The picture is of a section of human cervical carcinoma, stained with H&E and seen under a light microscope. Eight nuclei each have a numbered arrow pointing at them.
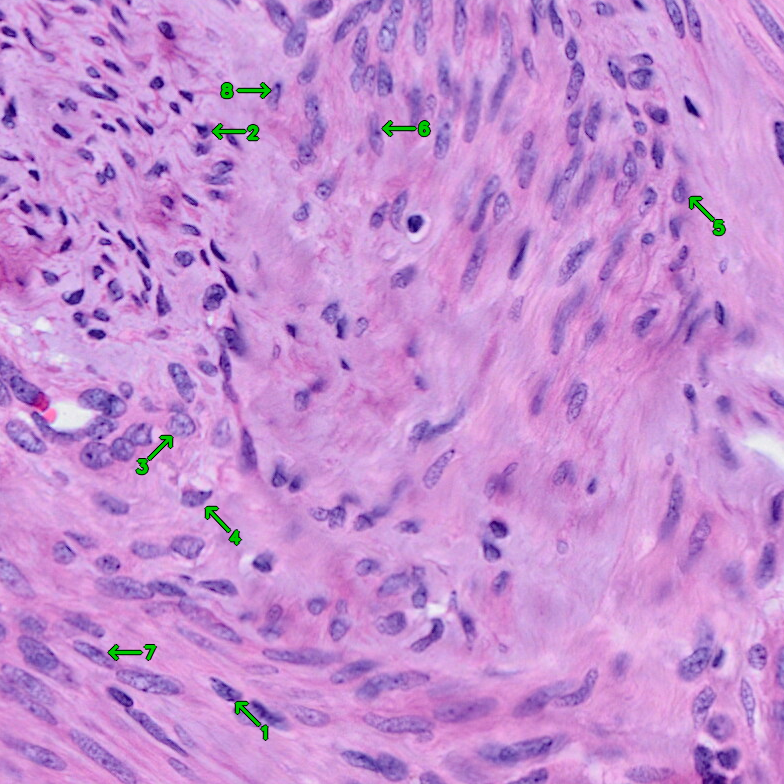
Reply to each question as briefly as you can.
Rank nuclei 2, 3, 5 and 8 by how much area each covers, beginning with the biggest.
3, 5, 8, 2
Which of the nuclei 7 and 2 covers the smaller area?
2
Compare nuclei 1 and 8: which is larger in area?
1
